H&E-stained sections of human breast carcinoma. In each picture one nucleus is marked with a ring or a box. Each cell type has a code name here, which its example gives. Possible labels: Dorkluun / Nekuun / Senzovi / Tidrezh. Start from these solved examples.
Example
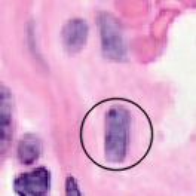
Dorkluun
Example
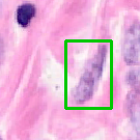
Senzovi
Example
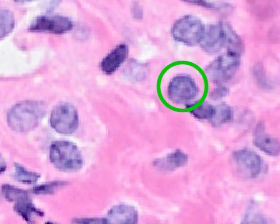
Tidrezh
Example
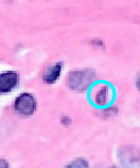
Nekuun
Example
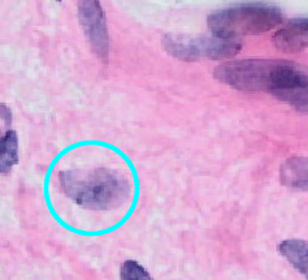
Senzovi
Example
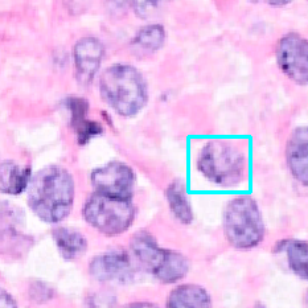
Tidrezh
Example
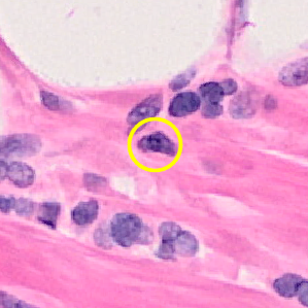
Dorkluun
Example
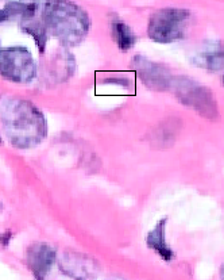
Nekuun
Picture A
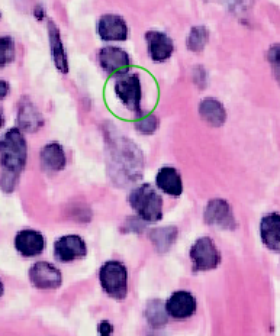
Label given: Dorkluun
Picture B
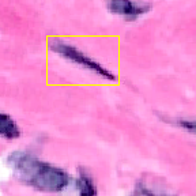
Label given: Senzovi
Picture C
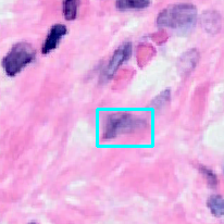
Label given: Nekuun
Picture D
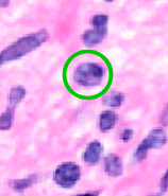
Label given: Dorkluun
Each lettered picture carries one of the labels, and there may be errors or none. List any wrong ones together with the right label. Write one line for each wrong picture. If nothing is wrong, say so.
None of the labels needs changing.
